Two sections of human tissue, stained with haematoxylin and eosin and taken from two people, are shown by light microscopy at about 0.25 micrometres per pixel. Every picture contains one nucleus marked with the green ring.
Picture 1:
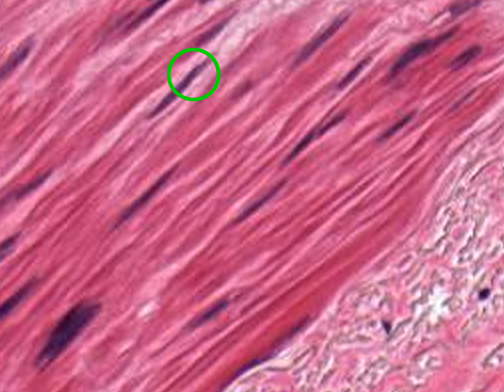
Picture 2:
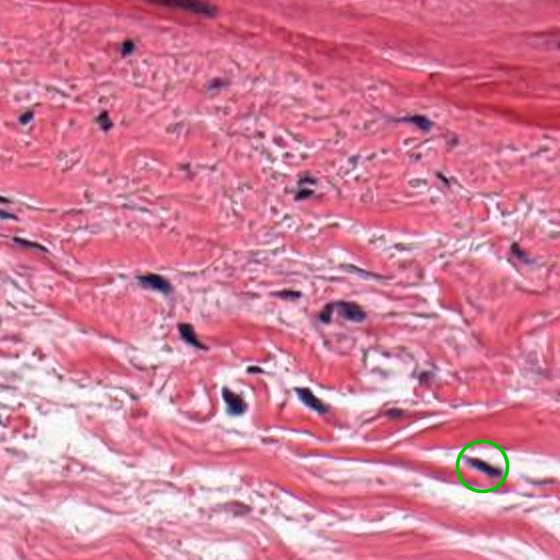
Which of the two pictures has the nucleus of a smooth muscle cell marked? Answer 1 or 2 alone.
1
